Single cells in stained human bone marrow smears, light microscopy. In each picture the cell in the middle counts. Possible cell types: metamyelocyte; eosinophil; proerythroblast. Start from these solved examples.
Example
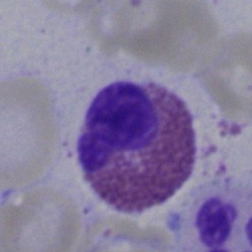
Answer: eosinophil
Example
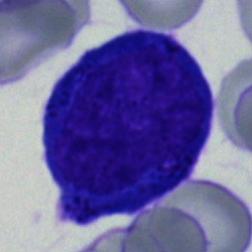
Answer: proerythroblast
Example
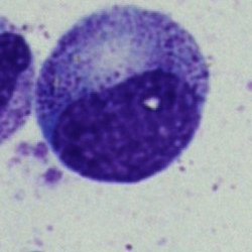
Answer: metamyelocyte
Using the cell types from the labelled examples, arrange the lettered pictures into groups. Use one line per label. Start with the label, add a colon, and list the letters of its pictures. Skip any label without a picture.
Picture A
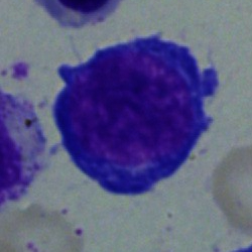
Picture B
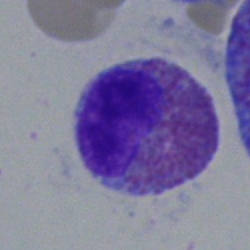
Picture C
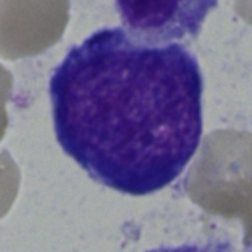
eosinophil: B
proerythroblast: A, C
